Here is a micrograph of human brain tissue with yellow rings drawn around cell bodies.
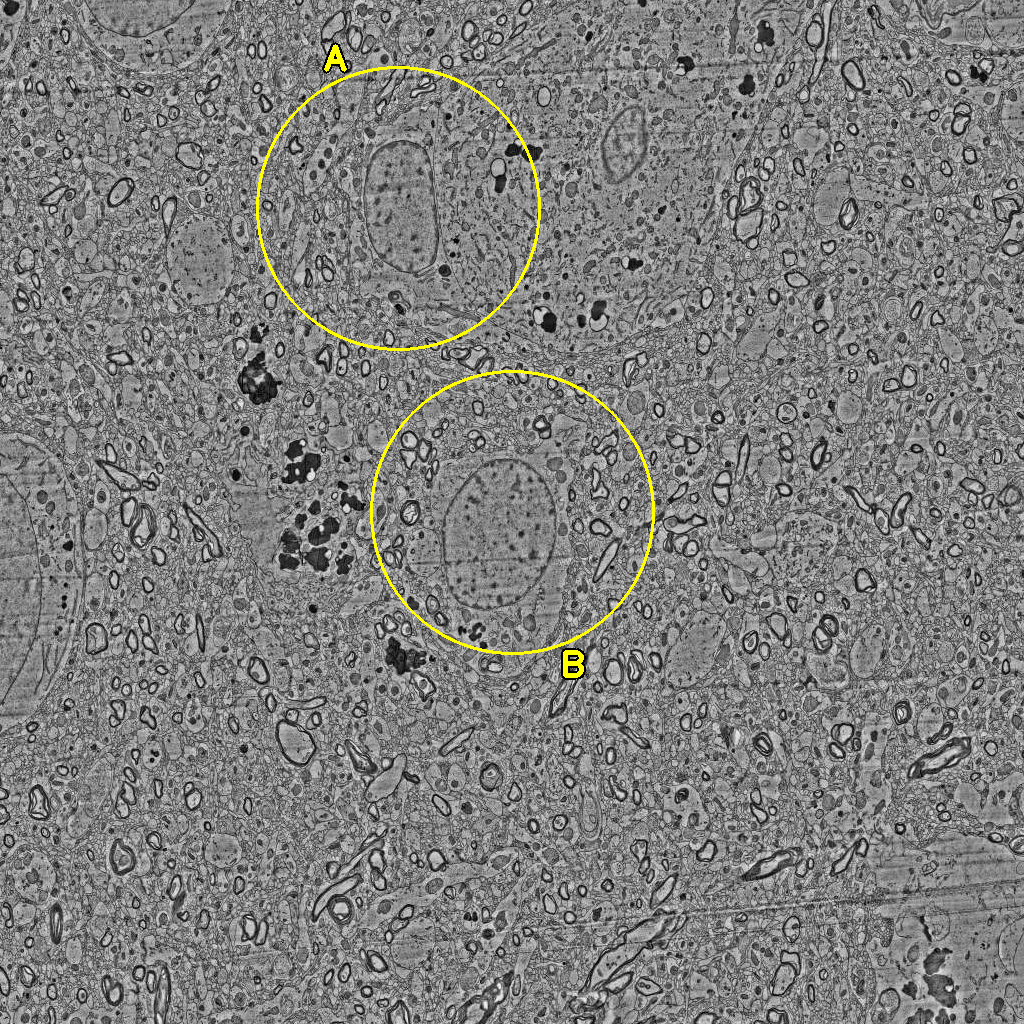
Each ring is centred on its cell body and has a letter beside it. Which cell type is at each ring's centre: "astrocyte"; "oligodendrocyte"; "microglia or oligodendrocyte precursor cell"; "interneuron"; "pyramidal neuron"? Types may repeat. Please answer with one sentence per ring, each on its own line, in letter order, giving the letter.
Ring A shows a microglial cell or oligodendrocyte precursor cell at its centre.
Ring B shows an astrocyte at its centre.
